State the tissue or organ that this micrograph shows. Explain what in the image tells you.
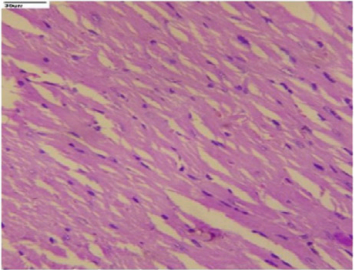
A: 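Elongated pink eosinophilic fibres run in parallel bundles. Oval nuclei lie centrally within the fibres. Narrow pale clefts separate the fibre bundles. So: heart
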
